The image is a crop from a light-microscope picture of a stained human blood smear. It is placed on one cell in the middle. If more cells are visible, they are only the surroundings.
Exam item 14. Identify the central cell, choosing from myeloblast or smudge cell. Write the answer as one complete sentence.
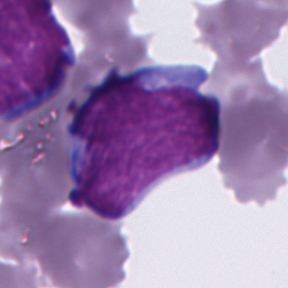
The cell marked by its central position in the crop is a myeloblast.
